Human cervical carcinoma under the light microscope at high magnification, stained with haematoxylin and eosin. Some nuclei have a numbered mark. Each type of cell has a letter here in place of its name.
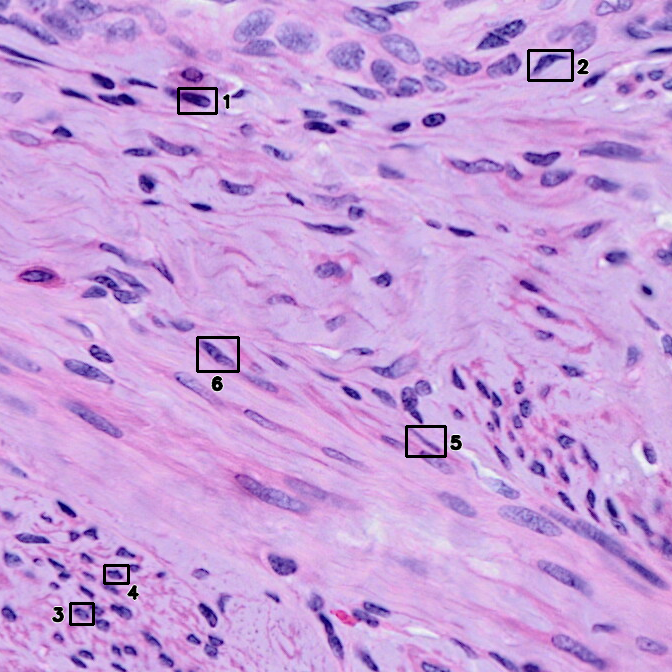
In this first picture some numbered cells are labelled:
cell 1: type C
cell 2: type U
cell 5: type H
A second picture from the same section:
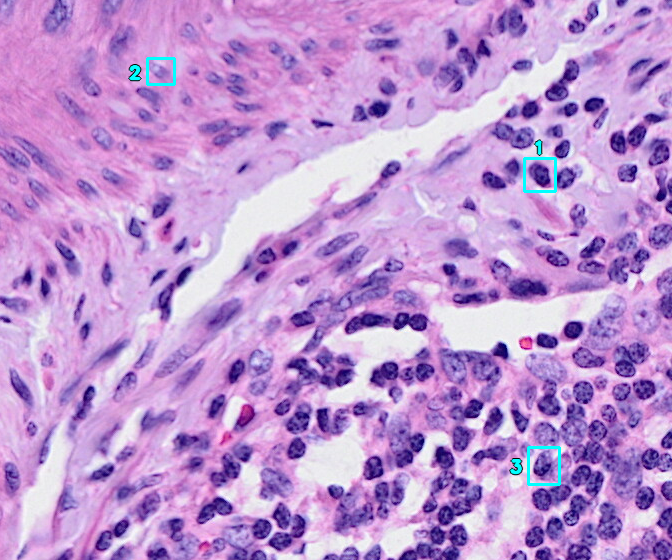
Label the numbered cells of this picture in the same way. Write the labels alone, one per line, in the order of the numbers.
type C
type H
type C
